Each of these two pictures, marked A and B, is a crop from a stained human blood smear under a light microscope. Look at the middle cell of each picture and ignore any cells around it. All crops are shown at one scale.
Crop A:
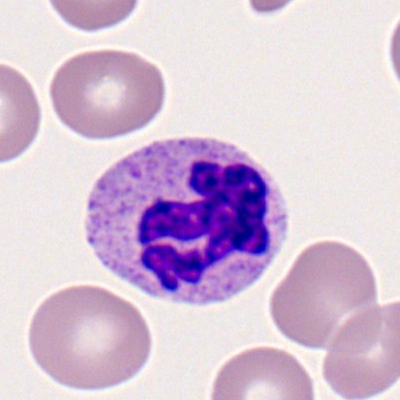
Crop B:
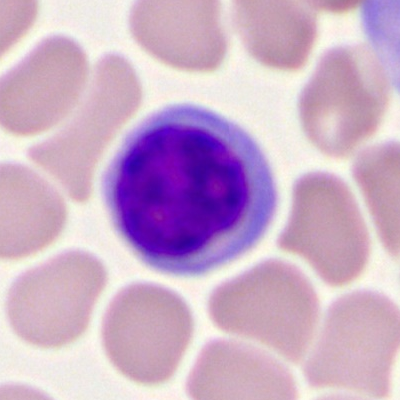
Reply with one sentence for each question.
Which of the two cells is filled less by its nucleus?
The nucleus fills less of the cell in crop A than in crop B.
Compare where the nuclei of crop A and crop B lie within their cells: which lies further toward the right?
Seen within its cell, the nucleus in crop A lies further toward the right.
